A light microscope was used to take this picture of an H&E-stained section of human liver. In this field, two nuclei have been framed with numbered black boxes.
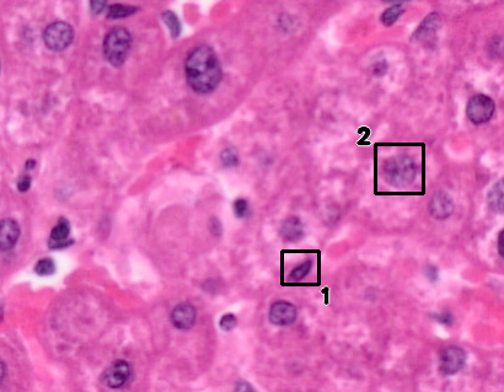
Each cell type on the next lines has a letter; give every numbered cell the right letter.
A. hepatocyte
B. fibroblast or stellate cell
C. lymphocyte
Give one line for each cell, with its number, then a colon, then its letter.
1: B
2: A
